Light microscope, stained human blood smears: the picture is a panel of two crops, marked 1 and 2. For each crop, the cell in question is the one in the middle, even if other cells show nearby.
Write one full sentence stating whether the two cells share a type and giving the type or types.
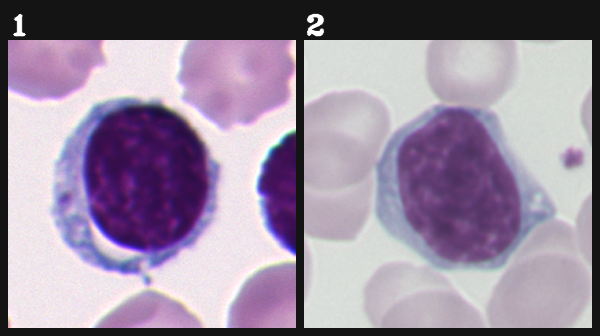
Yes, both crops, not just one, show typical lymphocytes.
